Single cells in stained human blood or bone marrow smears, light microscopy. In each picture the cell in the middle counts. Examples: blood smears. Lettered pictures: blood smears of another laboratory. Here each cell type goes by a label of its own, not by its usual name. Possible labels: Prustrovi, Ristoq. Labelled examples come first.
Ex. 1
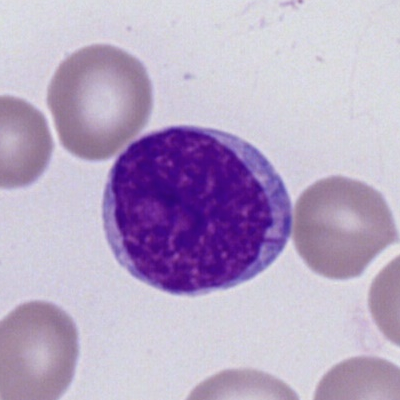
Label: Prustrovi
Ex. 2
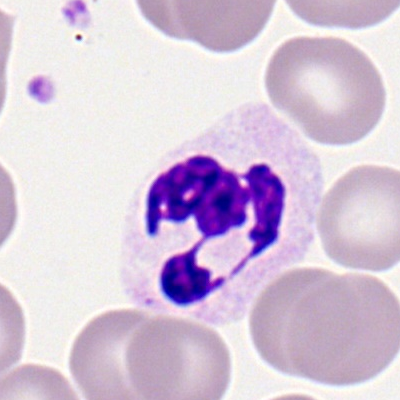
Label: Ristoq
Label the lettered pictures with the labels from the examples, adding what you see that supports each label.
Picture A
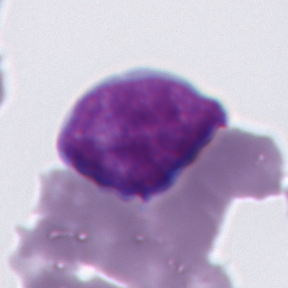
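Label: Prustrovi. Only a very thin rim of cytoplasm is visible, mainly along the upper edge of the cell.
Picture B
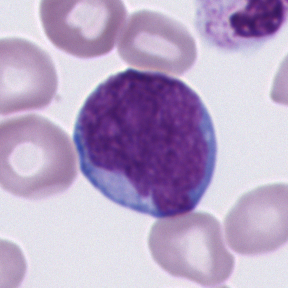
Label: Prustrovi. The cytoplasm is blue and darker toward the cell edge.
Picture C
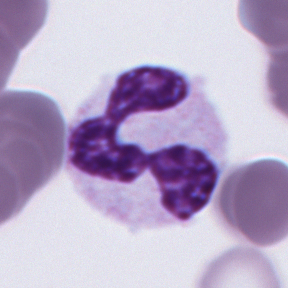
Label: Ristoq. The nucleus is divided into three lobes.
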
